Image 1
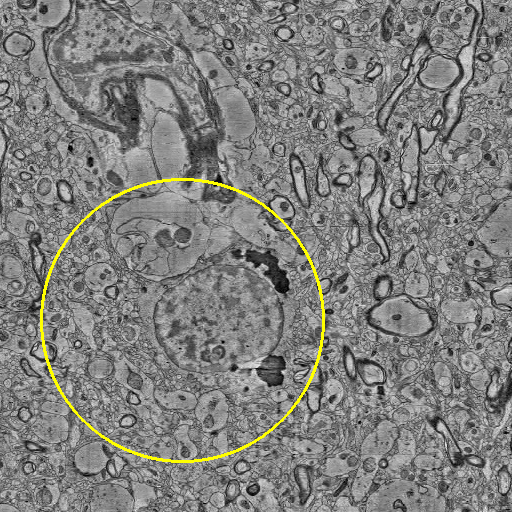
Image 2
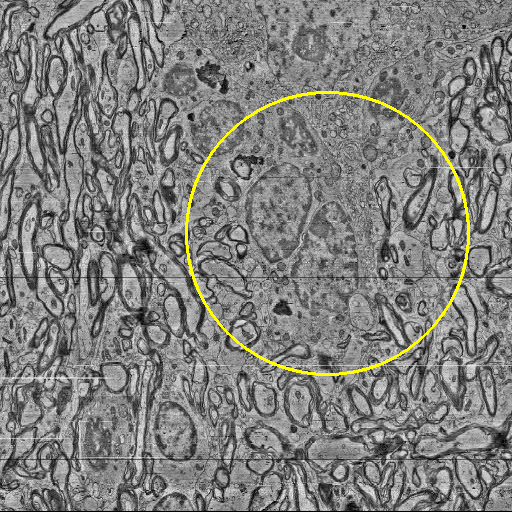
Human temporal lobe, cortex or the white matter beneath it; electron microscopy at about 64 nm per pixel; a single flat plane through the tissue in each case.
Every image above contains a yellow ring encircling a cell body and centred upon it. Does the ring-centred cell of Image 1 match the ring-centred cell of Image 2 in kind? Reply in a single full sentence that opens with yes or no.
Yes, the cell at the ring's centre in Image 1 is the same kind as that in Image 2.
